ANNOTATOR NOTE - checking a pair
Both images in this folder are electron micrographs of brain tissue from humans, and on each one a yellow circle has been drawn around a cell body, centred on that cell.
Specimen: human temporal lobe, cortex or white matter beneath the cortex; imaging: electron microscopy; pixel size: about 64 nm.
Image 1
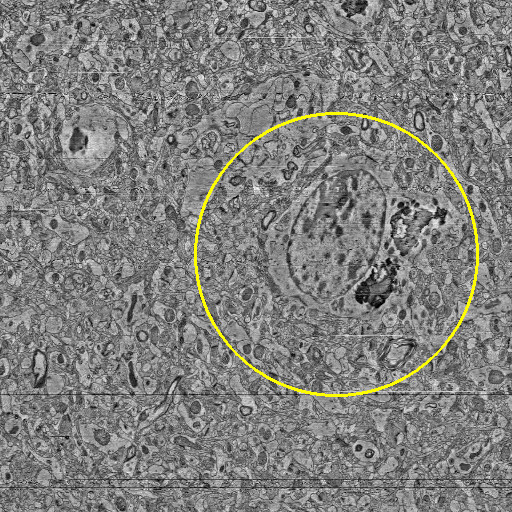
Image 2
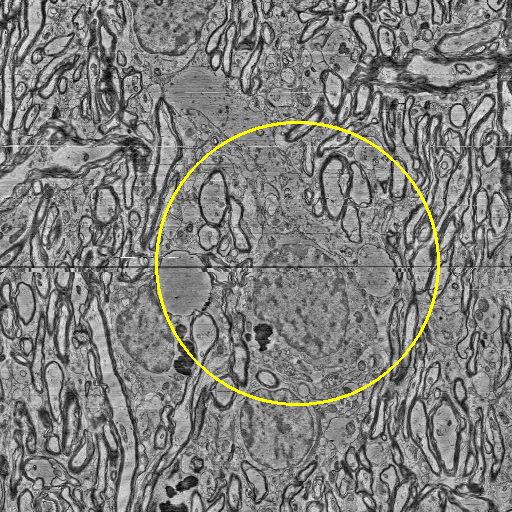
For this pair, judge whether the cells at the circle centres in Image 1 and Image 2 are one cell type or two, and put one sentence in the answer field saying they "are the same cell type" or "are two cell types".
For this pair, the cells at the circle centres in Images 1 and 2 are two cell types.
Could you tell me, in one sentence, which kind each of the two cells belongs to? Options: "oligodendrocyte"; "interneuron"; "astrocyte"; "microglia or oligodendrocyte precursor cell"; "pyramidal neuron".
At the centre of the first ring sits an astrocyte, and at the centre of the second sits an oligodendrocyte.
